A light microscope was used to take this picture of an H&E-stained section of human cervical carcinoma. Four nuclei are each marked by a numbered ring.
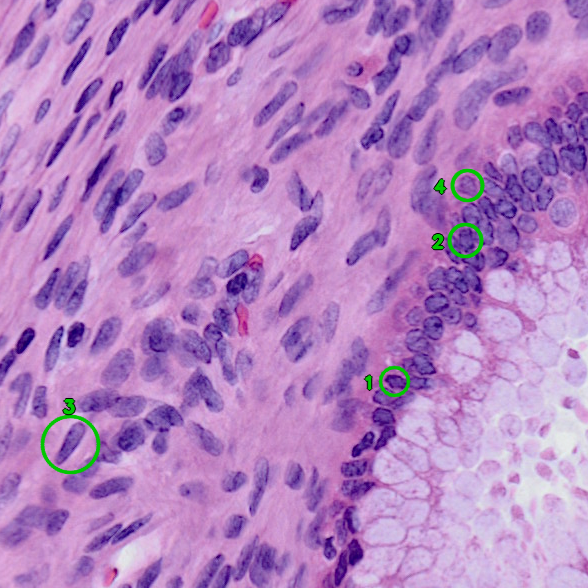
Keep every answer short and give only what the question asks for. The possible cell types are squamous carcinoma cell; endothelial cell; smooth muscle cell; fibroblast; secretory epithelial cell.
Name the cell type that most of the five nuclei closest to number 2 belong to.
secretory epithelial cell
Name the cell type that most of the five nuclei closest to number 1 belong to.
secretory epithelial cell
